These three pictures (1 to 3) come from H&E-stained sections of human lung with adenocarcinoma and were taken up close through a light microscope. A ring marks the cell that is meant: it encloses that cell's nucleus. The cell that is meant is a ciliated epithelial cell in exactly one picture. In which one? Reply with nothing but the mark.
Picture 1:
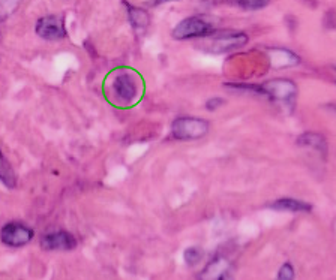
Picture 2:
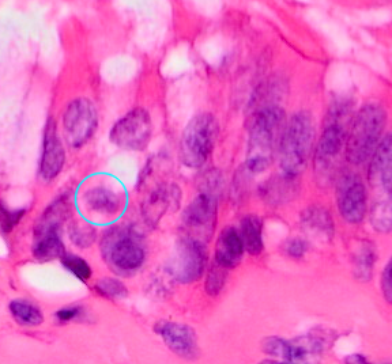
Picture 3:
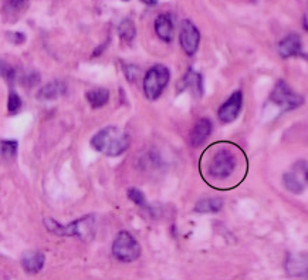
2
